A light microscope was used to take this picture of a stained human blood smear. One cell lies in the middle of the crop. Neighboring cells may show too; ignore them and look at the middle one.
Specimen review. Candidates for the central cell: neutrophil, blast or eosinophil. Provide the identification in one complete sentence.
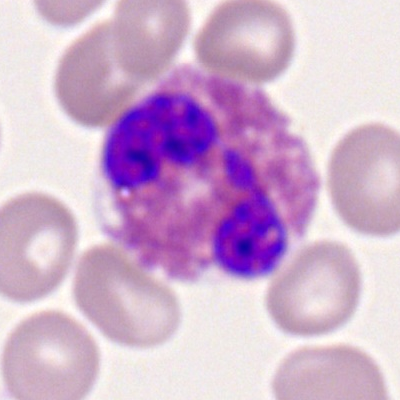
The cell occupying the middle of the crop is an eosinophil.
